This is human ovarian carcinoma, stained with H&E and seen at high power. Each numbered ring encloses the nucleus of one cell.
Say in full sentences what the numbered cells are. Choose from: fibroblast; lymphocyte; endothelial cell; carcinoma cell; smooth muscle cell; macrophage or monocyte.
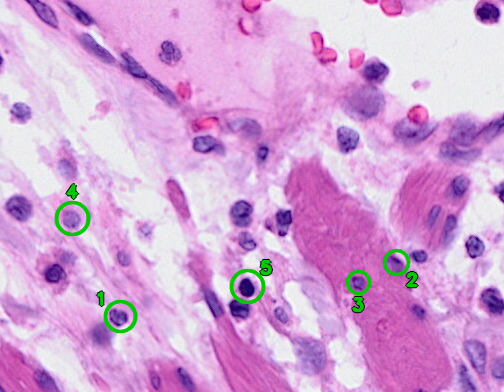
Cell 1 is a lymphocyte, cell 2 is a smooth muscle cell, cell 3 is a smooth muscle cell, cell 4 is a macrophage or monocyte and cell 5 is a lymphocyte.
